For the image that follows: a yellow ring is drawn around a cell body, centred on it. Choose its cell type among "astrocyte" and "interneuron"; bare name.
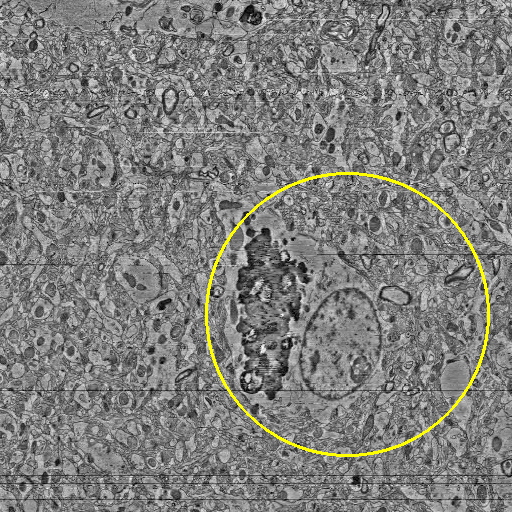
astrocyte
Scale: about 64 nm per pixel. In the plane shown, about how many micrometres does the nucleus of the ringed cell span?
In this plane, about 7 micrometres in length and 5 in width.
